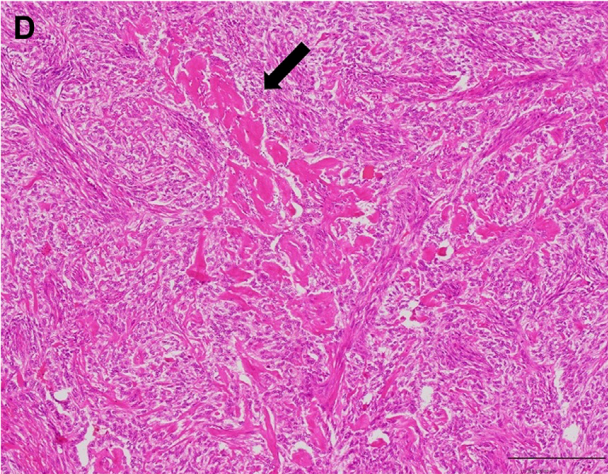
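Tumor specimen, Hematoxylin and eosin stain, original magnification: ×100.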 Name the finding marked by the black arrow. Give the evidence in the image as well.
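Bright pink, cell-poor bands and clumps lie among the tumor cells. The pink material is dense and glassy, with few nuclei in it. So: Collagen fiber deposit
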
